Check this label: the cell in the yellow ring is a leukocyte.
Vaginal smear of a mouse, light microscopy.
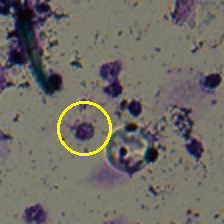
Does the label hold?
The label holds; the cell is a leukocyte.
